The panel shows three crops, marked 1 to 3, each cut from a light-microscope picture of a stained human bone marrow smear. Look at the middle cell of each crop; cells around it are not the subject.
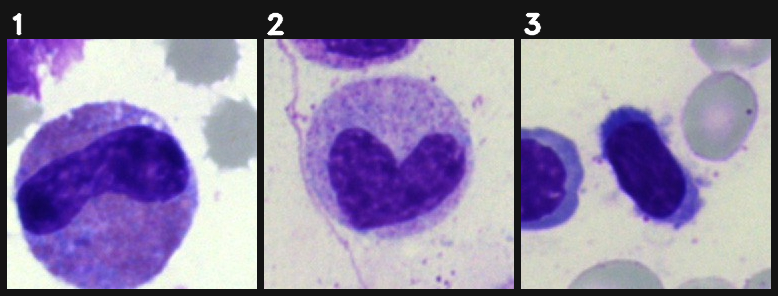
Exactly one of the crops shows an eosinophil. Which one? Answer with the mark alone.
1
